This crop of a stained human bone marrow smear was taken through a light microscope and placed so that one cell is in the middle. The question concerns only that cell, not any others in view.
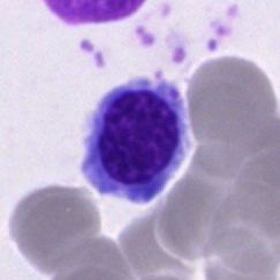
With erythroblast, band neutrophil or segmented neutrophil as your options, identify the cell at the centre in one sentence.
Seen at the centre of the crop is an erythroblast.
